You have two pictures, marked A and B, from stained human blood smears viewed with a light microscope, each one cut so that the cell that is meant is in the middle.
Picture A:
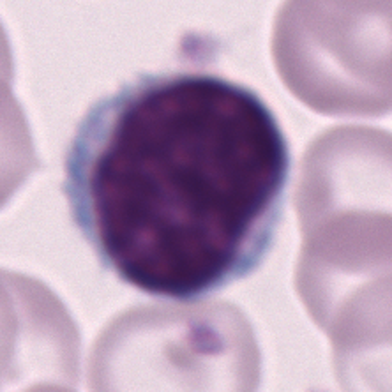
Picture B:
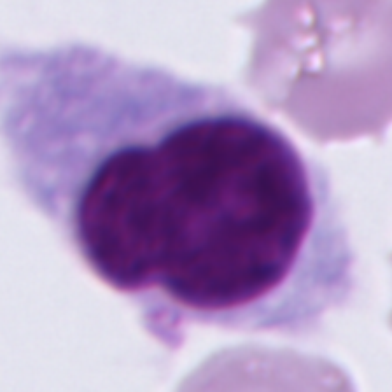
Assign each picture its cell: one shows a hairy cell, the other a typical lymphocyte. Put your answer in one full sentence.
In picture A the cell is a typical lymphocyte; in picture B, a hairy cell.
